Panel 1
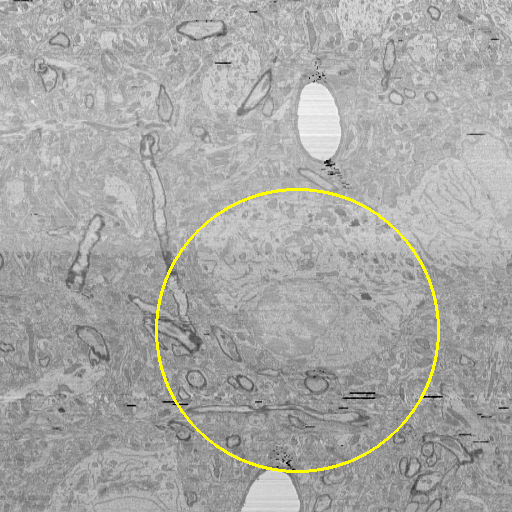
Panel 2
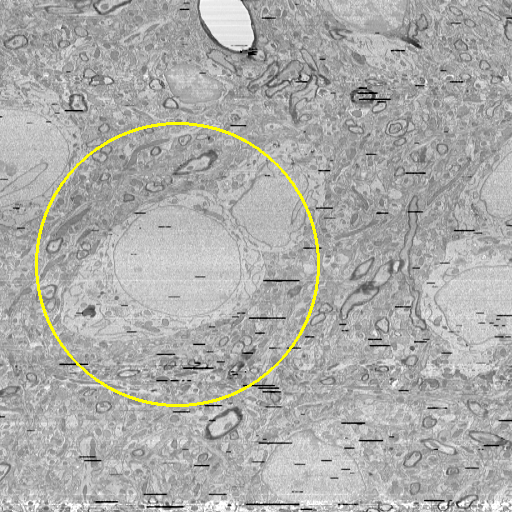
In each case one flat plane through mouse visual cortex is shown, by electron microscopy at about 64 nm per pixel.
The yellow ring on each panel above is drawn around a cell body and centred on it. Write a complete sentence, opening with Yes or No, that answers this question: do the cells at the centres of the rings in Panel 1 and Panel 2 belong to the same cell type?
No, the two cells belong to two cell types.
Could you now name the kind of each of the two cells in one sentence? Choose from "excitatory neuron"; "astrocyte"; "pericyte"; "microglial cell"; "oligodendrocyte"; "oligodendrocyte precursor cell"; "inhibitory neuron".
The first ring encloses an oligodendrocyte; the second ring encloses an excitatory neuron.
